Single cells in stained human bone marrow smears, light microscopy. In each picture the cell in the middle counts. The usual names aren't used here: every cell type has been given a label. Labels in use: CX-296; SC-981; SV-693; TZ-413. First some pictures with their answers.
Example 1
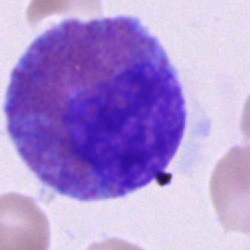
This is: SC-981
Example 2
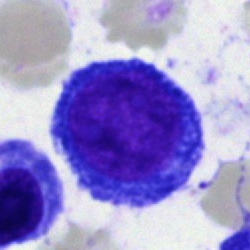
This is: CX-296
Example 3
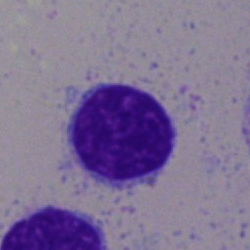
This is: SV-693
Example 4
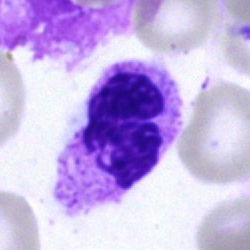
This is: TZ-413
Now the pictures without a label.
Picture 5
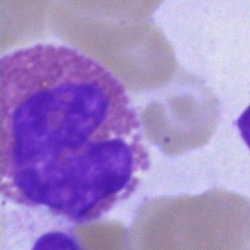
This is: SC-981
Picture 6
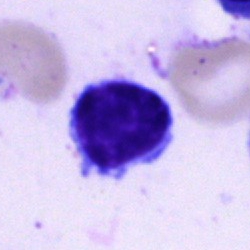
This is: SV-693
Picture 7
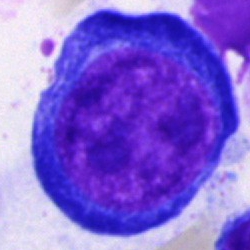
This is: CX-296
